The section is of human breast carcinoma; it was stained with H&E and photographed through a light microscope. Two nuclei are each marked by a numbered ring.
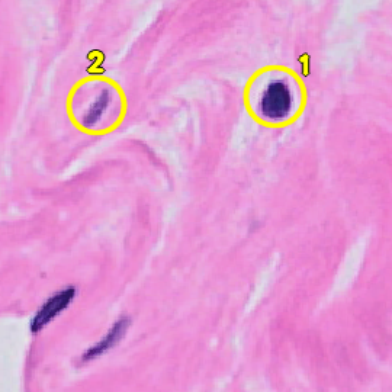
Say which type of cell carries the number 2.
fibroblast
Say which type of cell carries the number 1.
lymphocyte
